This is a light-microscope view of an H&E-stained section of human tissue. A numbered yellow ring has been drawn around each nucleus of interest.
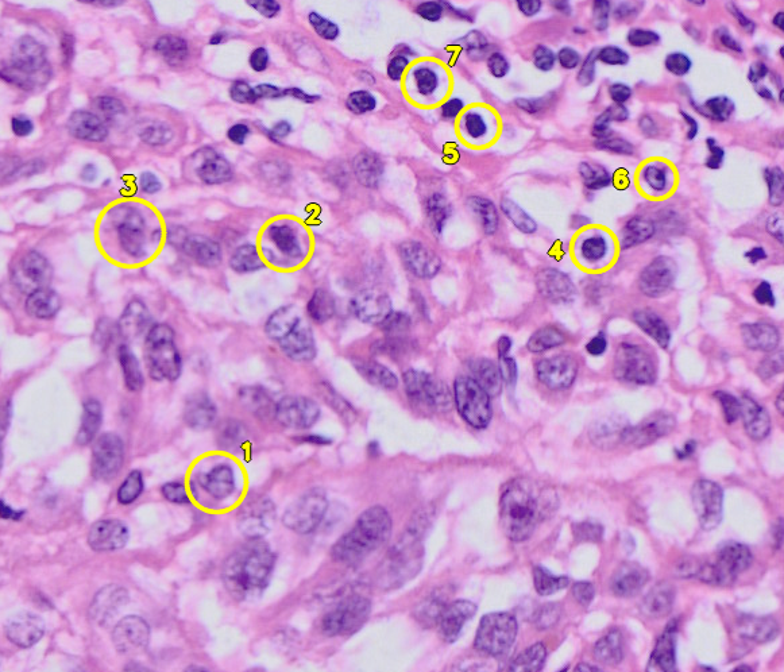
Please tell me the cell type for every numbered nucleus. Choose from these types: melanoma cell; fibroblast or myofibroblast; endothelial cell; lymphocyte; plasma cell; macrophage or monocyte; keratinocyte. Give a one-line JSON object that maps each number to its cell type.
{"1": "melanoma cell", "2": "melanoma cell", "3": "melanoma cell", "4": "lymphocyte", "5": "lymphocyte", "6": "lymphocyte", "7": "lymphocyte"}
